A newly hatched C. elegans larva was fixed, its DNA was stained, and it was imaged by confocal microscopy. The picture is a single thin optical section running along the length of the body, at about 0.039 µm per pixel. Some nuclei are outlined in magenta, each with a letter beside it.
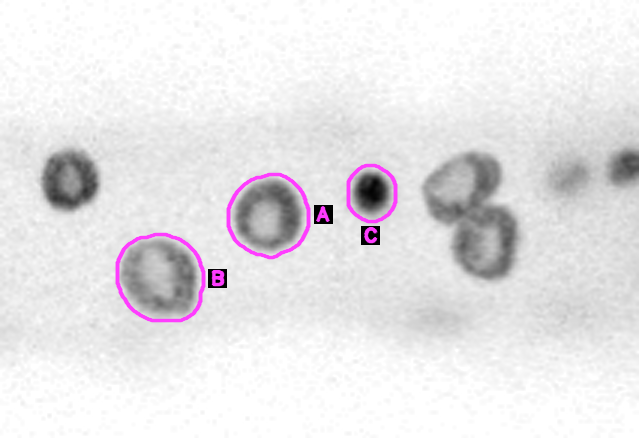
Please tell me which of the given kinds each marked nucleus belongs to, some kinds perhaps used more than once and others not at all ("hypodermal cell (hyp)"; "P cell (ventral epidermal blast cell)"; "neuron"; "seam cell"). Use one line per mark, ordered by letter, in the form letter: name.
A: seam cell
B: hypodermal cell (hyp)
C: neuron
